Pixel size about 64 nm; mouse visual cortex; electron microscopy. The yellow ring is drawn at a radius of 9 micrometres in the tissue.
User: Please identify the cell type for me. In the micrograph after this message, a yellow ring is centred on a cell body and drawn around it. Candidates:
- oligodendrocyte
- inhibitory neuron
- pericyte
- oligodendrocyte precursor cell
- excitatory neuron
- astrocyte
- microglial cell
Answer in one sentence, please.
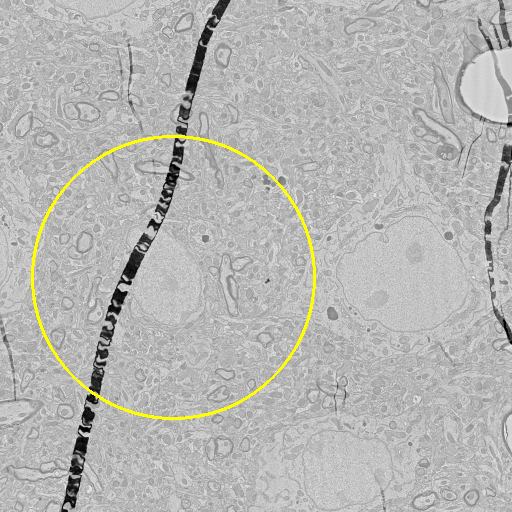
The ring is drawn around the cell body of an oligodendrocyte precursor cell.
